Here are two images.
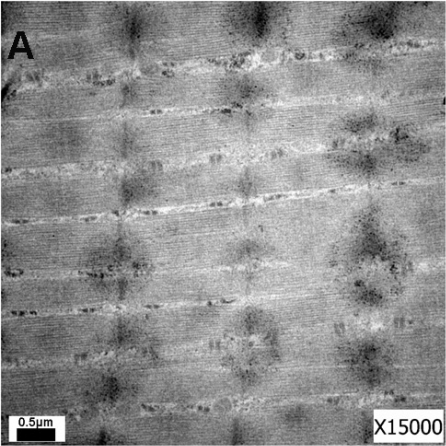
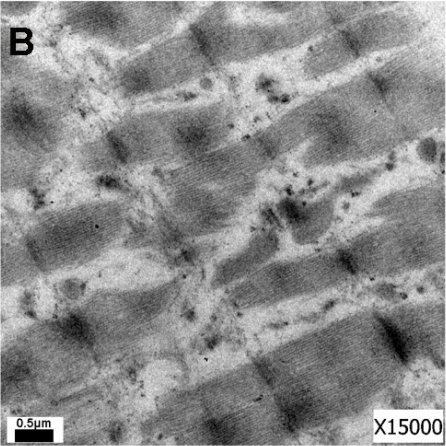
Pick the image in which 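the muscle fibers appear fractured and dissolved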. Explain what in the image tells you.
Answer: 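The second image. Second image: myofibrils are broken into separated segments with pale dissolved areas between them. First image: myofibrils are continuous and parallel with regular striations.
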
